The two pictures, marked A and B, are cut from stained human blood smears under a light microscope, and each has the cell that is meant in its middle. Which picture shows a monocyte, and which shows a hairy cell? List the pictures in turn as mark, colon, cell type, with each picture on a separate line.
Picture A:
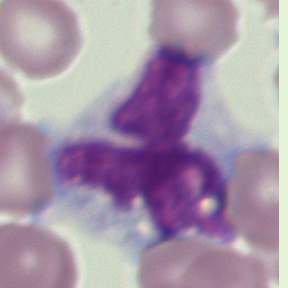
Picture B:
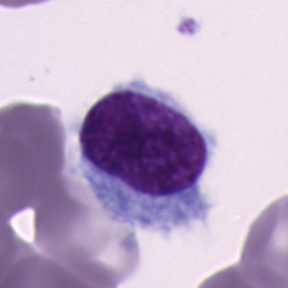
A: monocyte
B: hairy cell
